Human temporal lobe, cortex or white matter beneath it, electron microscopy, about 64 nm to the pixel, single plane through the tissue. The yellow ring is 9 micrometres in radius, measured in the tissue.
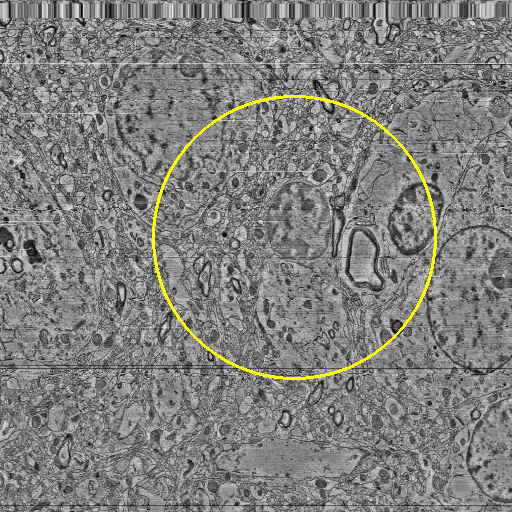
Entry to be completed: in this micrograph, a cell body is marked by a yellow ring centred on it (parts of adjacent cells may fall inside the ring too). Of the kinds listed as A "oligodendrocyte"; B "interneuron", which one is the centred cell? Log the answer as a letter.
A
